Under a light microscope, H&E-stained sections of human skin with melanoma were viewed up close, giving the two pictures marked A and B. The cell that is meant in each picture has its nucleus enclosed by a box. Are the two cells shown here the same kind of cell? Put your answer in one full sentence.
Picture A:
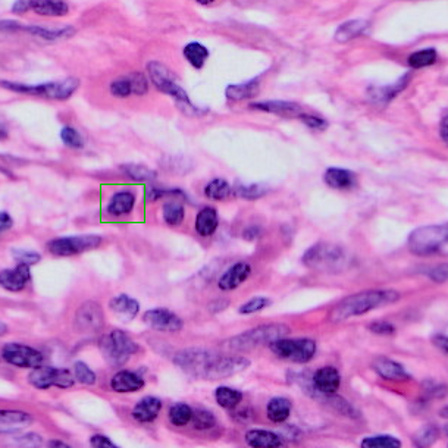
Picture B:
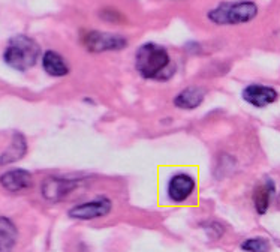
No, they differ: the cell is a plasma cell in picture A and a lymphocyte in picture B.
